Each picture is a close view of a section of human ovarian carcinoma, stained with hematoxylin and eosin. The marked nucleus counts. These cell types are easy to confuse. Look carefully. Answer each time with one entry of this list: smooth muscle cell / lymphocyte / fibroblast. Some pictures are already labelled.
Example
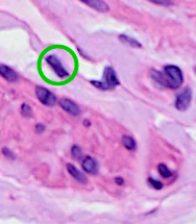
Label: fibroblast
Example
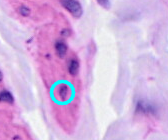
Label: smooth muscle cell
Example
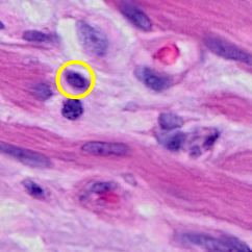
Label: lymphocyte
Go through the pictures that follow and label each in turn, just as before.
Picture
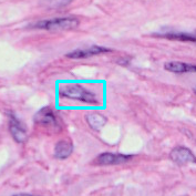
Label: fibroblast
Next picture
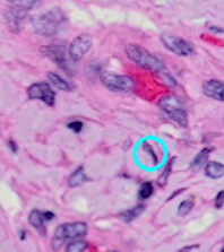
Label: fibroblast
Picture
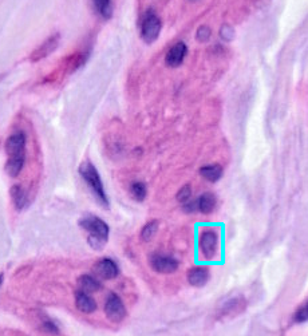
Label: smooth muscle cell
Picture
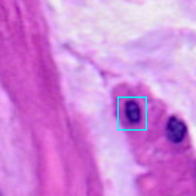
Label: smooth muscle cell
